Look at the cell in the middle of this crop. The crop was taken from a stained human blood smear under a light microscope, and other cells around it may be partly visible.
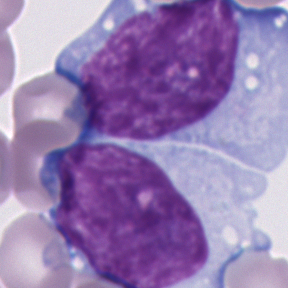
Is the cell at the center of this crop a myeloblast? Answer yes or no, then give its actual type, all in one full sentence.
Yes, the cell of interest in the centre is a myeloblast.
